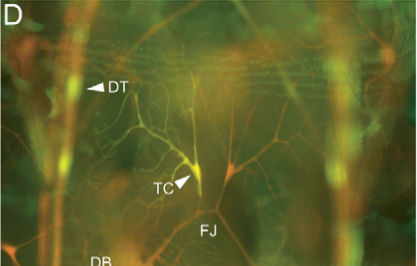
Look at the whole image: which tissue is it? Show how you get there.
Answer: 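A network of branching tubes runs across the field. Two thick parallel longitudinal tubes with fine side branches. Thin branches taper and ramify into fine endings. That points to this answer: tracheal system.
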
